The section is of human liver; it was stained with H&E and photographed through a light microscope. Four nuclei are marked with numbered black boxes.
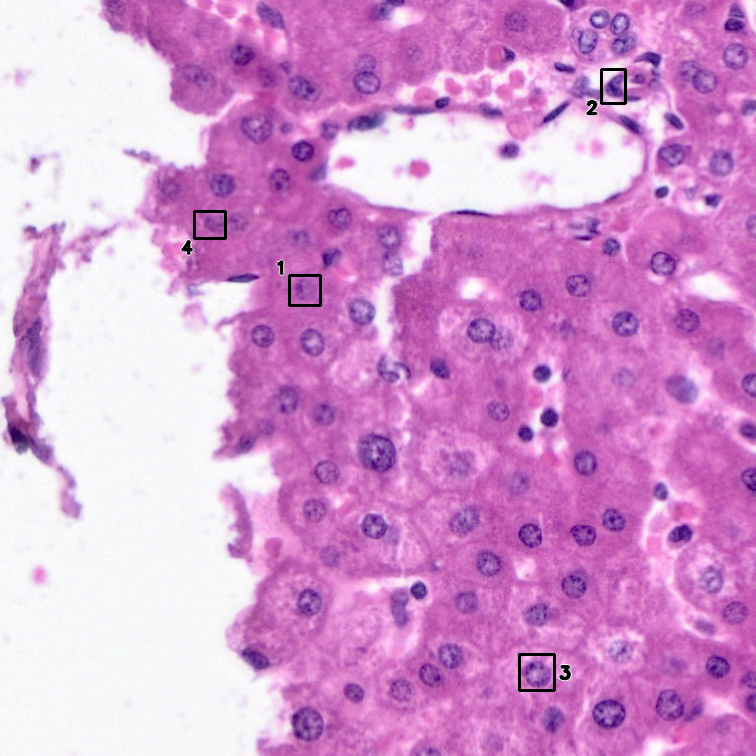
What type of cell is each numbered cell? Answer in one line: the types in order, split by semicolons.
hepatocyte; fibroblast or stellate cell; hepatocyte; hepatocyte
